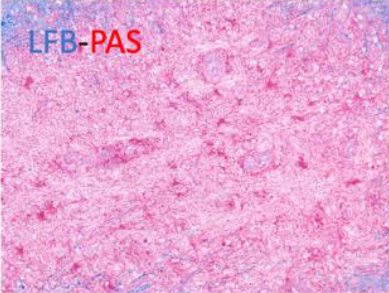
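This white matter lesion is stained almost wholly pink, with blue staining confined to small areas at the edges. Scattered bright magenta dots and clumps lie throughout the loose, fibrillar pink tissue.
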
